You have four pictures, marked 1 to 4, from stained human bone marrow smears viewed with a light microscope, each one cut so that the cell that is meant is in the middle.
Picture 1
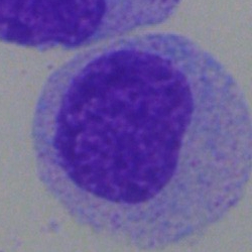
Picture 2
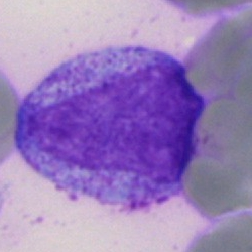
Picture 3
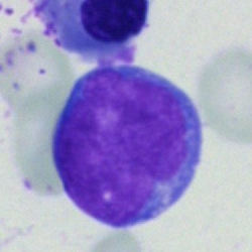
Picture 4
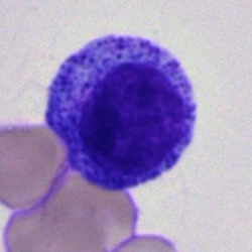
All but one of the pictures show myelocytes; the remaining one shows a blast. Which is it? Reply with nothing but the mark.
3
